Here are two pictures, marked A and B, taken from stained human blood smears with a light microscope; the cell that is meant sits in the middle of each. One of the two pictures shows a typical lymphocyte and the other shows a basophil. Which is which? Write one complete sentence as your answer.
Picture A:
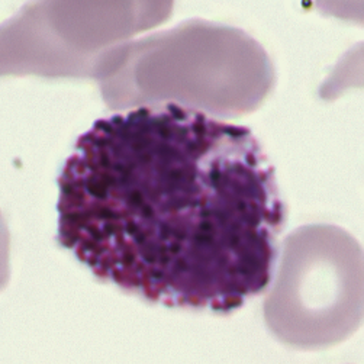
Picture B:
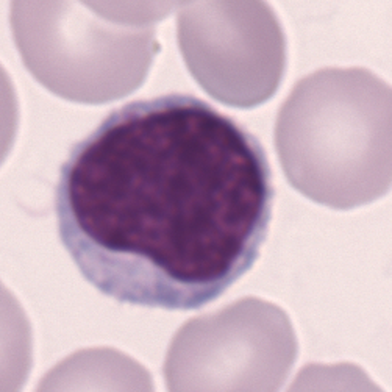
Picture A shows a basophil and picture B shows a typical lymphocyte.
